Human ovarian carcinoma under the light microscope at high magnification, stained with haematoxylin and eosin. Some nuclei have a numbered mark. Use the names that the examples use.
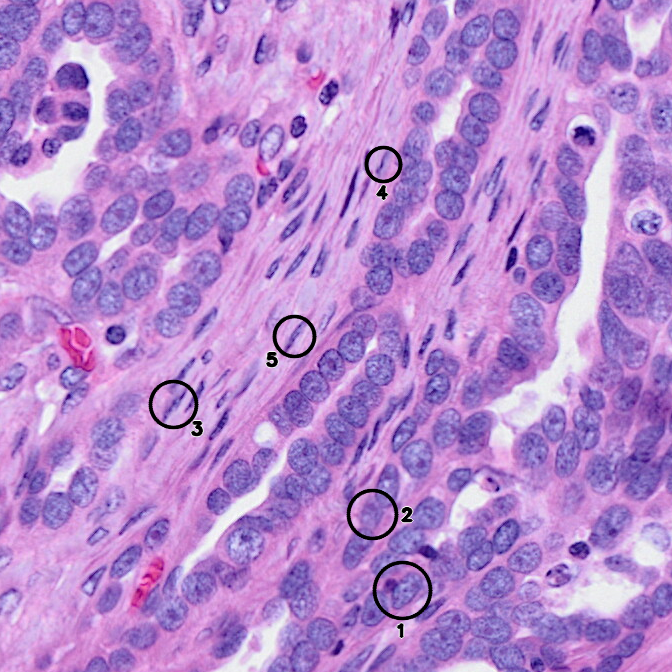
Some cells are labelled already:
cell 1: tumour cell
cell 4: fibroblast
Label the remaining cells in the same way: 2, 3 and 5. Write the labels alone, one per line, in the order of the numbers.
tumour cell
fibroblast
fibroblast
